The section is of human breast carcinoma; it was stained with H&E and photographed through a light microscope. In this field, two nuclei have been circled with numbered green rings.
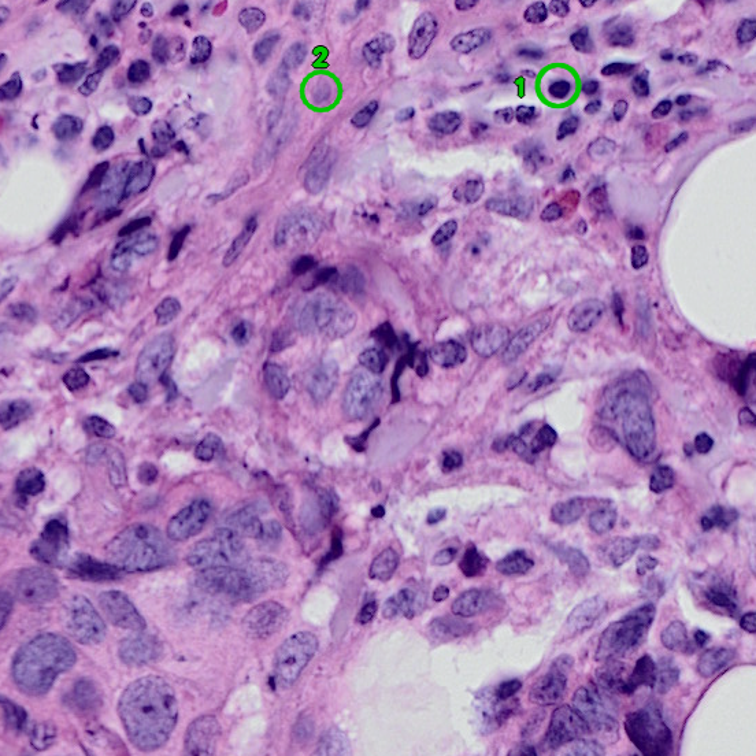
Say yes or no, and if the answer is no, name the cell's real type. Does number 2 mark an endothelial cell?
Yes.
